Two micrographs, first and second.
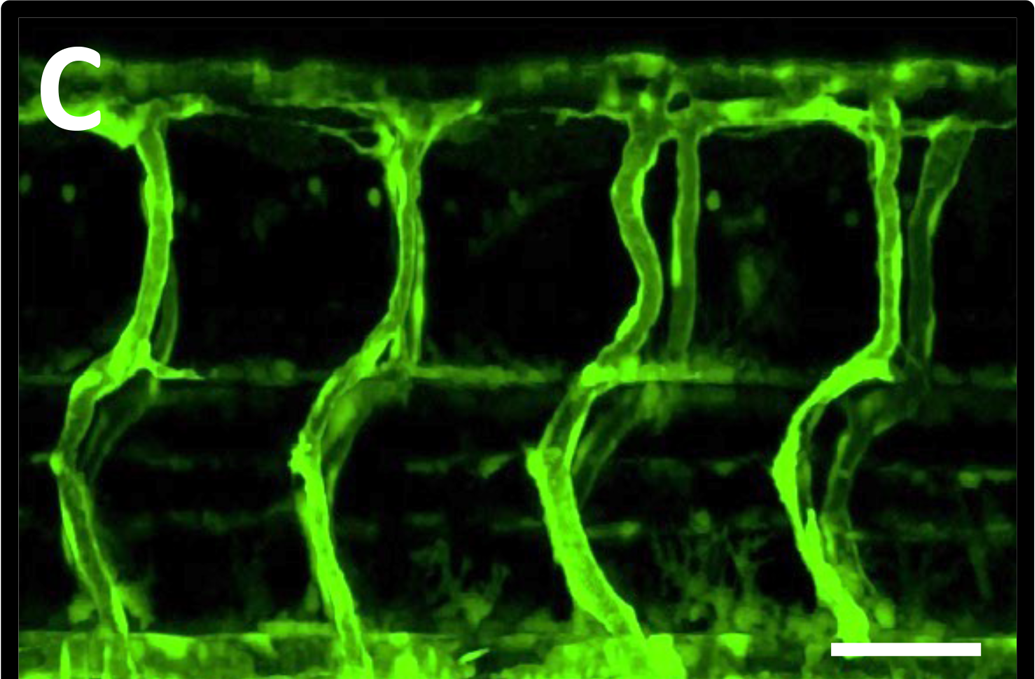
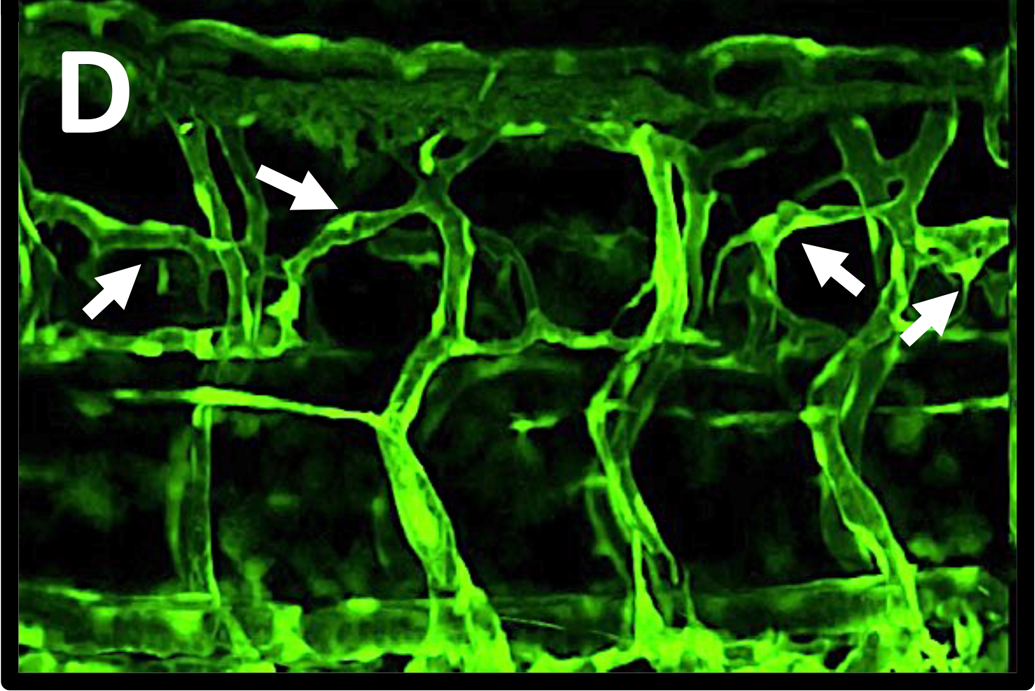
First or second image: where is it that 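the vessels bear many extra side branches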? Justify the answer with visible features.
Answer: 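Second image: the vertical vessels give off short irregular side branches. On this evidence: the second image.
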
